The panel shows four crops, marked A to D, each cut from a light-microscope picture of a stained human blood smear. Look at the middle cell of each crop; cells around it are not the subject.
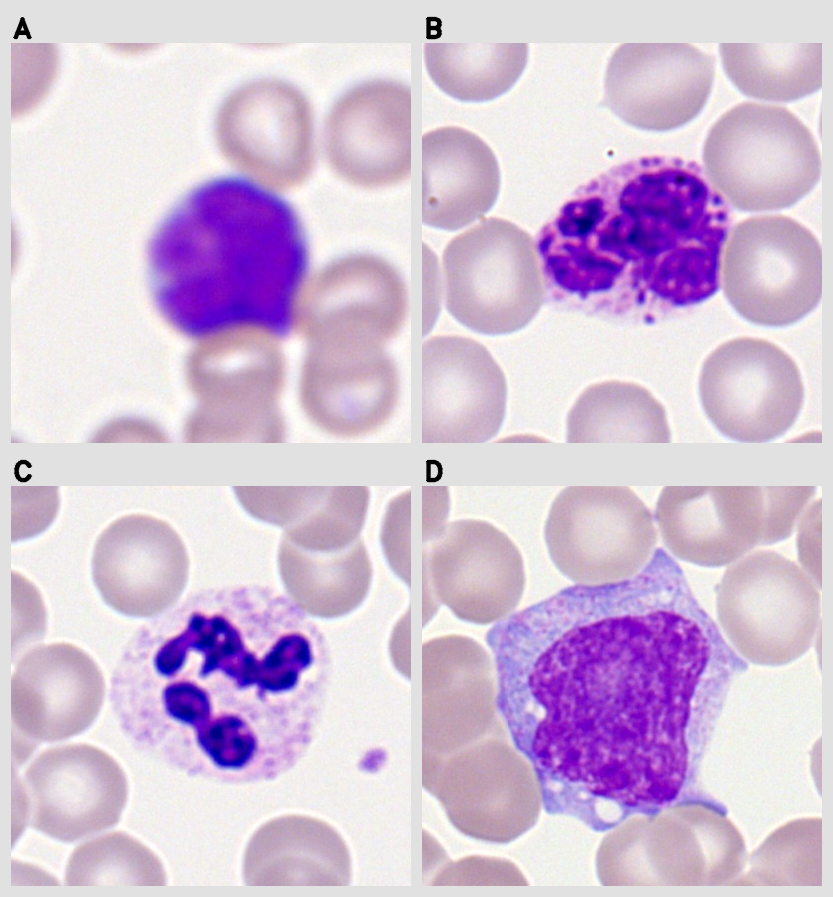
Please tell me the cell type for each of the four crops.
A: myeloblast
B: basophil
C: segmented neutrophil
D: monocyte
